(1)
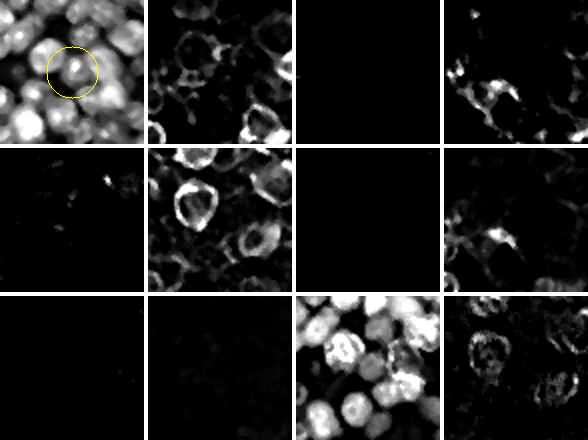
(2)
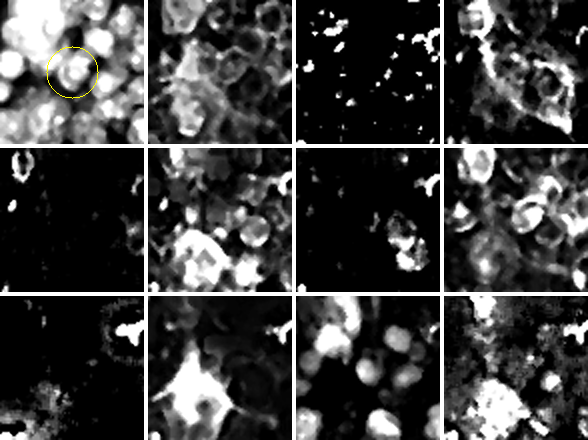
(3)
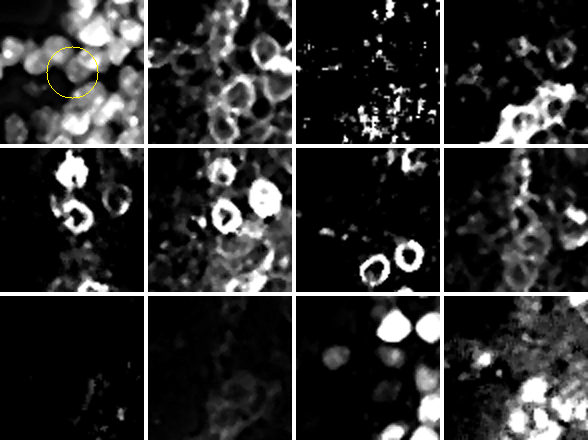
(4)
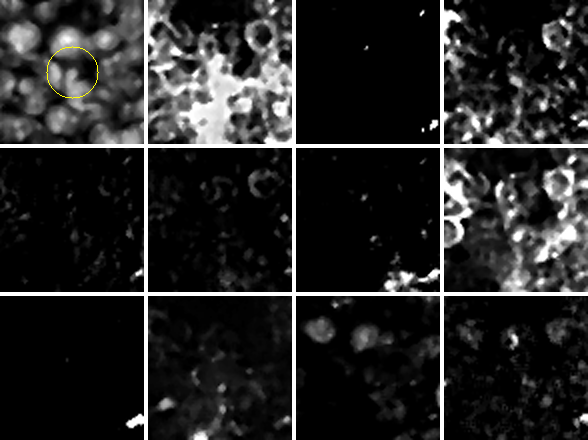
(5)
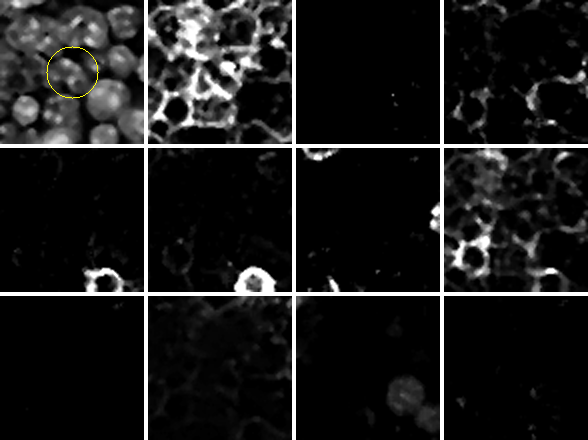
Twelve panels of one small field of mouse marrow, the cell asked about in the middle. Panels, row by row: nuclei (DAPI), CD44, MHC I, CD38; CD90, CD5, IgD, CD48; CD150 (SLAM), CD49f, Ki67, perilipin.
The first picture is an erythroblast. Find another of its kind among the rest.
Picture 4.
